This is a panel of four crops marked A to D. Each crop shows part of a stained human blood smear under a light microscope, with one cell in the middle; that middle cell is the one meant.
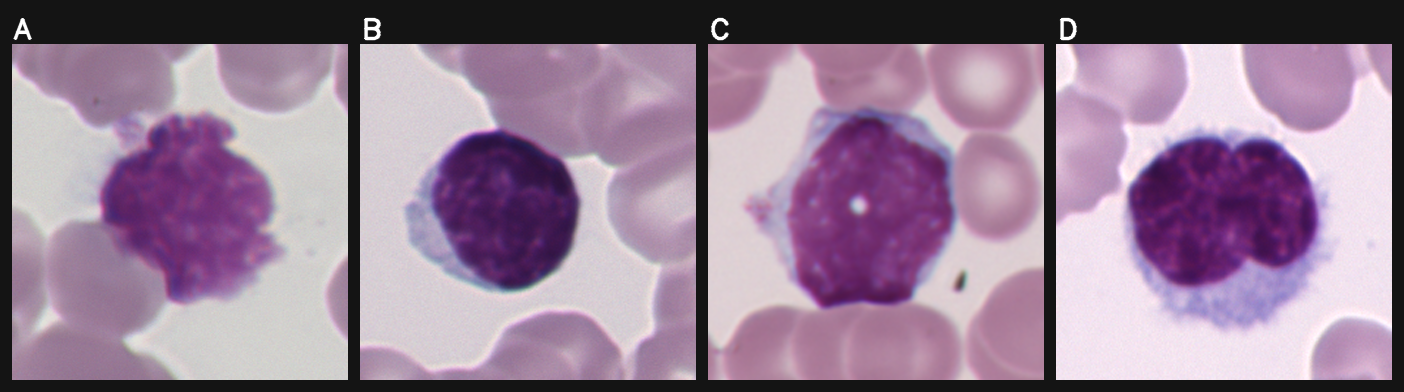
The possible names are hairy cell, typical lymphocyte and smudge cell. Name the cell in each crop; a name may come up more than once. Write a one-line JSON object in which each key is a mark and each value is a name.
{"A": "smudge cell", "B": "typical lymphocyte", "C": "typical lymphocyte", "D": "hairy cell"}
